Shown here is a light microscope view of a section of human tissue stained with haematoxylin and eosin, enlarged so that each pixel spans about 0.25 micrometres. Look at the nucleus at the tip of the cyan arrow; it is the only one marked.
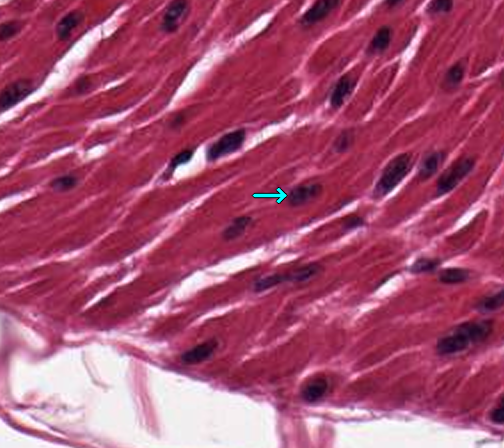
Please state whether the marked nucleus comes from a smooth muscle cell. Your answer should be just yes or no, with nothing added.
yes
